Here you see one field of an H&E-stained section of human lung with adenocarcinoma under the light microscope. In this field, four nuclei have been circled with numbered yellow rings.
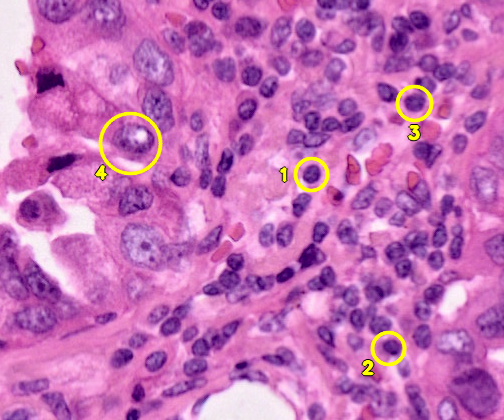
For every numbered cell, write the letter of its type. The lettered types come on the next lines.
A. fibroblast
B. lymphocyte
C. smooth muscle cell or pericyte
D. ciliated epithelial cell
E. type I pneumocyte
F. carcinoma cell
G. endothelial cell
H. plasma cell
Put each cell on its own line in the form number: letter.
1: B
2: B
3: B
4: F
